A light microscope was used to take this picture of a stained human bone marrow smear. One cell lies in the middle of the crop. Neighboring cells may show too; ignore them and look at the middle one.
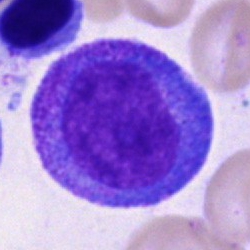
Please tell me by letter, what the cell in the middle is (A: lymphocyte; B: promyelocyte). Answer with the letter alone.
B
